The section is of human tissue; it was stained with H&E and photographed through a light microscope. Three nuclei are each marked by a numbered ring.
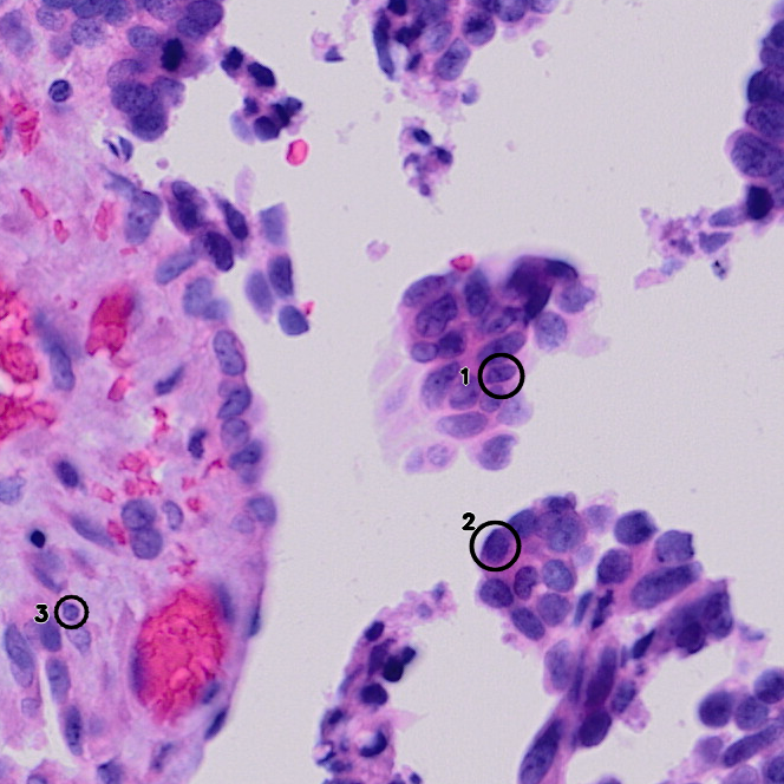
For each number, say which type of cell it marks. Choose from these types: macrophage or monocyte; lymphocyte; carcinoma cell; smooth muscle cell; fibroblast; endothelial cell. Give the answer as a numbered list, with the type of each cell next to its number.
1. carcinoma cell
2. carcinoma cell
3. lymphocyte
